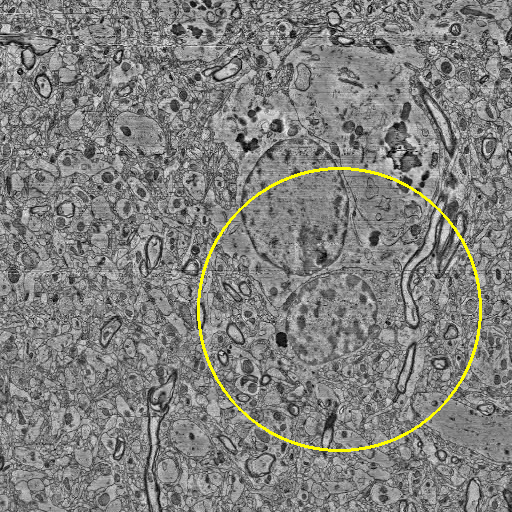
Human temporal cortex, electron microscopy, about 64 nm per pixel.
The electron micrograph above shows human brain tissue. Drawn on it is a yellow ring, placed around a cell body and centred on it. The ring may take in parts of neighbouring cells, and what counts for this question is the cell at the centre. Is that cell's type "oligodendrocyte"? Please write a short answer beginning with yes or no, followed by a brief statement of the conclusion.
Yes, its type is the one named.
